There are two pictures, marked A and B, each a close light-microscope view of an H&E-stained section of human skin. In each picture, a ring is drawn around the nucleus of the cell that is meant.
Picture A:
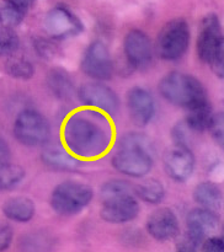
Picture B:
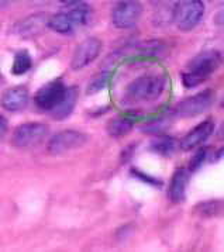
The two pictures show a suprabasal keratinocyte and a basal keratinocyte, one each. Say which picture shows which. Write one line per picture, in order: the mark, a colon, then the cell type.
A: suprabasal keratinocyte
B: basal keratinocyte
